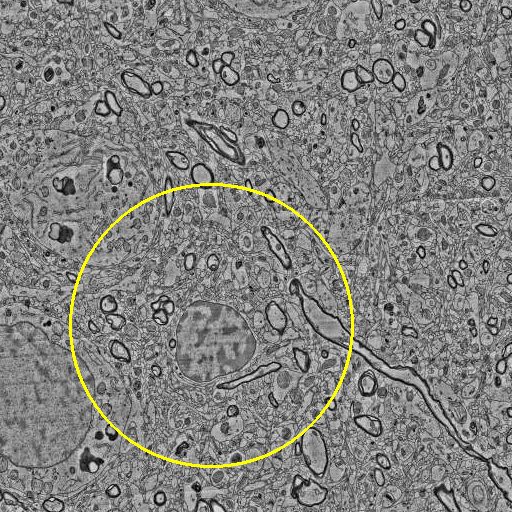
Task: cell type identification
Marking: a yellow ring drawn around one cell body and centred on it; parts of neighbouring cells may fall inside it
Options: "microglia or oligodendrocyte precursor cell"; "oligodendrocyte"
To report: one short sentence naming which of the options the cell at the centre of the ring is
The cell at the centre of the ring is a microglial cell or oligodendrocyte precursor cell.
